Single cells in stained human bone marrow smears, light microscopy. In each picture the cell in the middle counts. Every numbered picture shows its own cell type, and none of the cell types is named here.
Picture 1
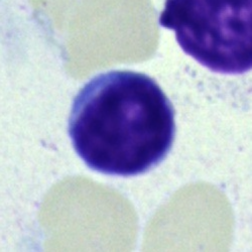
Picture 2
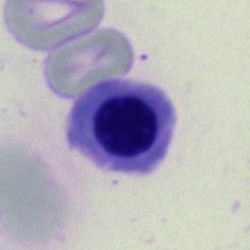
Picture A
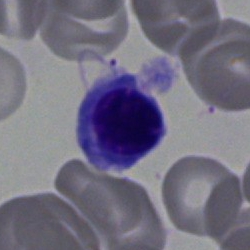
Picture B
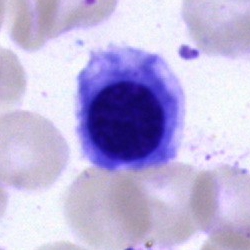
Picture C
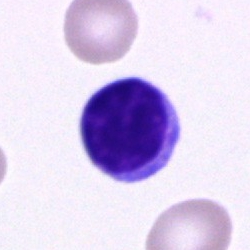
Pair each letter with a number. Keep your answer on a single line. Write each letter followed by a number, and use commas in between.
A 2, B 2, C 1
